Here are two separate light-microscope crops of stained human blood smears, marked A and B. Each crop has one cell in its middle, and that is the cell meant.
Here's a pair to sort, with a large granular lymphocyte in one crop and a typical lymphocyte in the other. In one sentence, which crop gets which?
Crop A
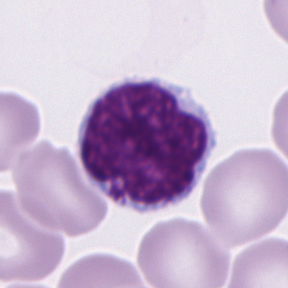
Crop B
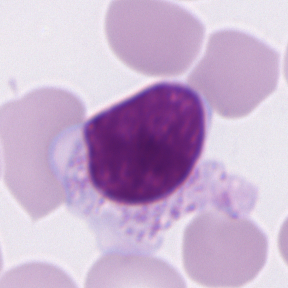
Crop A displays a typical lymphocyte, and crop B displays a large granular lymphocyte.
